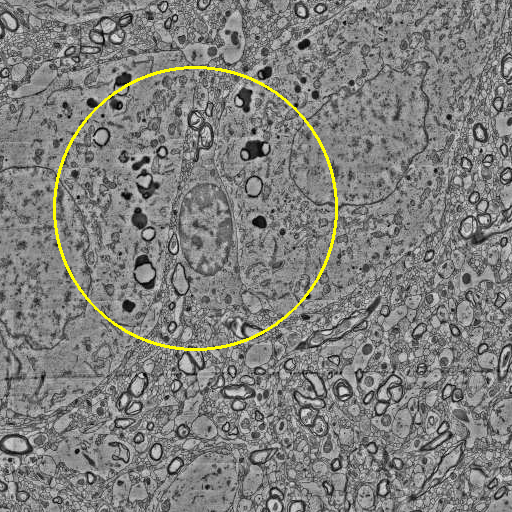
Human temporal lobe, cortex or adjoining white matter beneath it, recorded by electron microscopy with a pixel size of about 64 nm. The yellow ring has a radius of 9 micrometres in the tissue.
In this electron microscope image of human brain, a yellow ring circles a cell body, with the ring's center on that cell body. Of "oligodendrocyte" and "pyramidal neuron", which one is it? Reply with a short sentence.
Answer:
It is an oligodendrocyte at the center of the ring.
